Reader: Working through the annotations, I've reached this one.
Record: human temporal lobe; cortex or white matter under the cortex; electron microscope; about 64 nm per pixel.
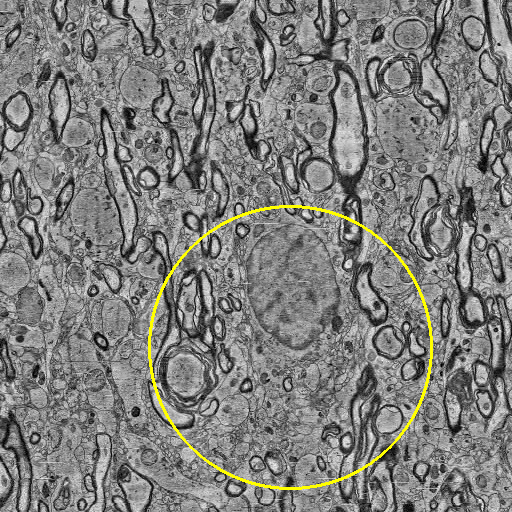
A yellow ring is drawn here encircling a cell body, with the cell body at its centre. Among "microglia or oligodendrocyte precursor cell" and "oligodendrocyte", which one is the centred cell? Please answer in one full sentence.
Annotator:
The cell body at the centre of the yellow ring in this image belongs to an oligodendrocyte.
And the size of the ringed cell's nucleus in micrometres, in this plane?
About 8 by 6 micrometres in this plane.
